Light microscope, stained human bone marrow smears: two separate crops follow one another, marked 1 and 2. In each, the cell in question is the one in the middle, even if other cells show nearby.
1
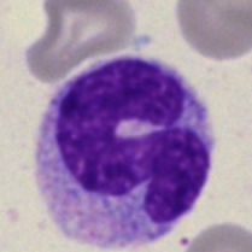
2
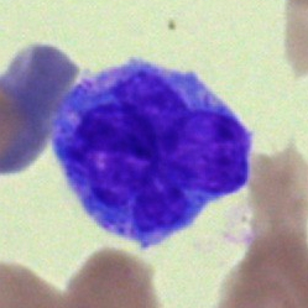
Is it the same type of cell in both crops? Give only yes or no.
yes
